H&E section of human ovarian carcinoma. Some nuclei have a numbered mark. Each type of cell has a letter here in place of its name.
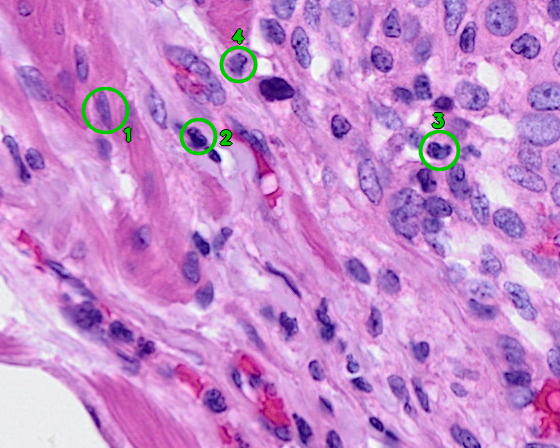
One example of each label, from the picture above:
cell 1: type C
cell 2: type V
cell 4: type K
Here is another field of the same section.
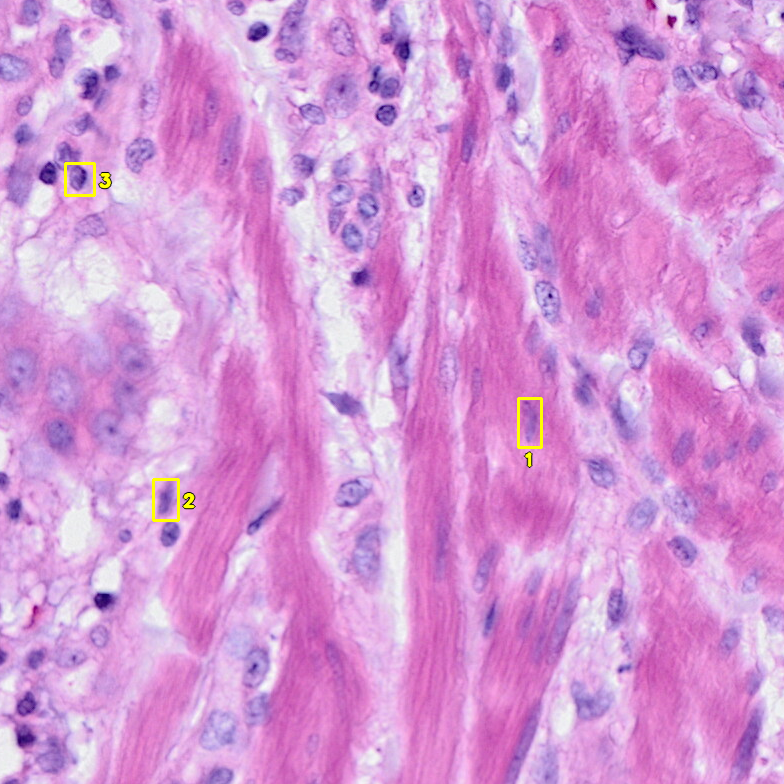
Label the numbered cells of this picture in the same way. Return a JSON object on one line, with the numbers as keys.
{"1": "type C", "2": "type K", "3": "type V"}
